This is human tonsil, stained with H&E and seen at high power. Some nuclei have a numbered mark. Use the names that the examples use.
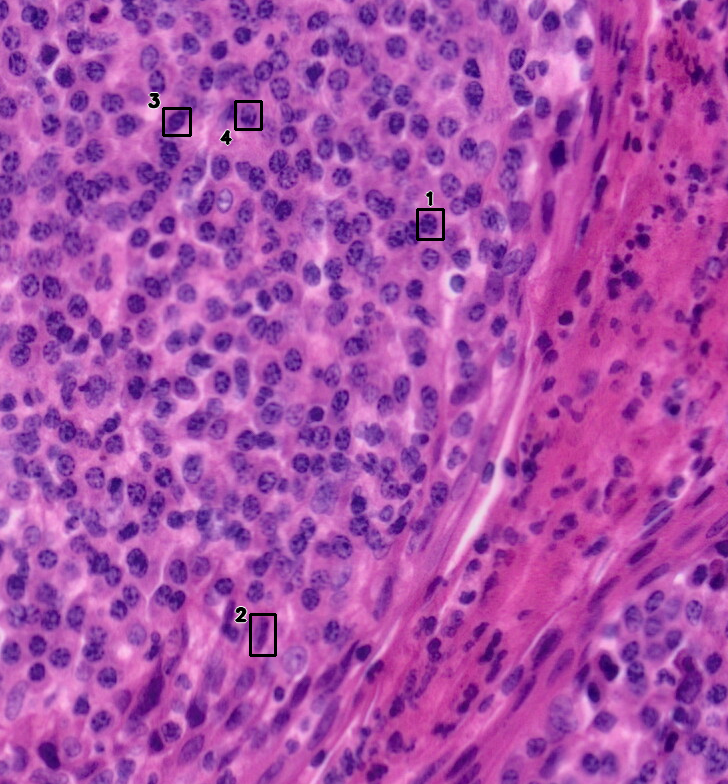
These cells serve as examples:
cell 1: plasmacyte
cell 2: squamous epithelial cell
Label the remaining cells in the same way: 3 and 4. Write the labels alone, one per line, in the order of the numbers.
plasmacyte
plasmacyte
